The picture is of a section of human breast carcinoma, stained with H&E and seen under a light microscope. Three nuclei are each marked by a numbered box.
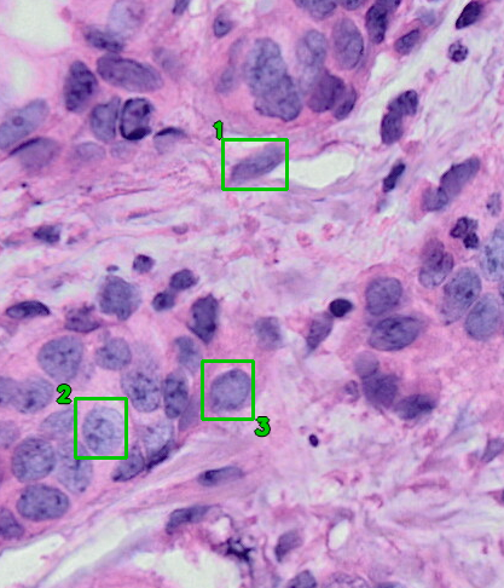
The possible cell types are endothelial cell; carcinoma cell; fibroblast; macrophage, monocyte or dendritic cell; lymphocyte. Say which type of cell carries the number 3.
carcinoma cell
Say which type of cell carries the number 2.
carcinoma cell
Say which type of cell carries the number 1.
fibroblast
